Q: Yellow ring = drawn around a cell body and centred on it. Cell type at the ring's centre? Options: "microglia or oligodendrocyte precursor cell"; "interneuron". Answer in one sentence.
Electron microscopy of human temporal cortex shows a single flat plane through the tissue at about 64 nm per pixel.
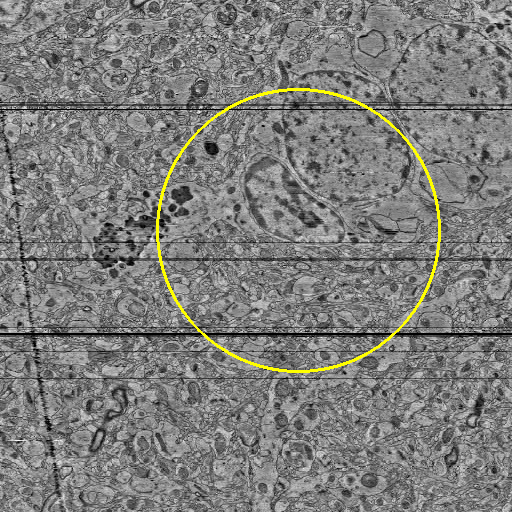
Centred in the ring is a microglial cell or oligodendrocyte precursor cell.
